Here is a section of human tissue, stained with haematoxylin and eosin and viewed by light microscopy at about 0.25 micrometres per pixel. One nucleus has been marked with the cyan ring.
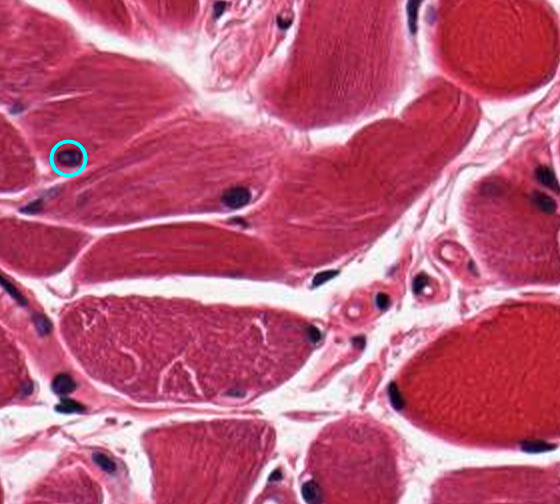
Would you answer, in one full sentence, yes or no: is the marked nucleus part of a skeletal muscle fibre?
Yes, the marked nucleus lies within a skeletal muscle fibre.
